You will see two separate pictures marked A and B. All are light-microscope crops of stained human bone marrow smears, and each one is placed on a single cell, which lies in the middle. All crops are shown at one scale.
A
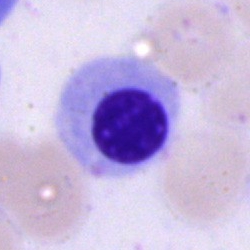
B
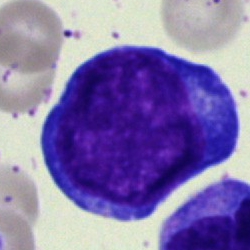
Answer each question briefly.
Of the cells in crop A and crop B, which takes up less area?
A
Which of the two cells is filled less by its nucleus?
A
